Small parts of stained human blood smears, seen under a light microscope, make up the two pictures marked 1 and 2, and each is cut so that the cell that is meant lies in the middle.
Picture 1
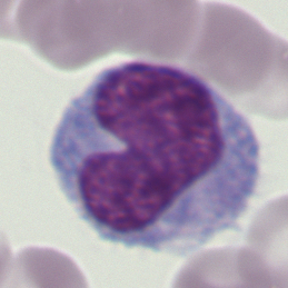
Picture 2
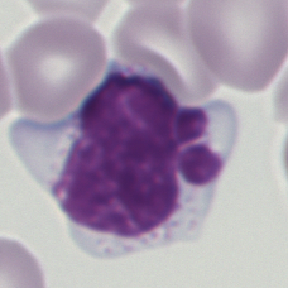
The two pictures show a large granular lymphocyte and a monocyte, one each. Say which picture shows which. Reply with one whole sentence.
Picture 1 shows a monocyte and picture 2 shows a large granular lymphocyte.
